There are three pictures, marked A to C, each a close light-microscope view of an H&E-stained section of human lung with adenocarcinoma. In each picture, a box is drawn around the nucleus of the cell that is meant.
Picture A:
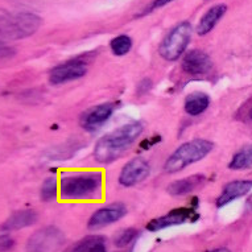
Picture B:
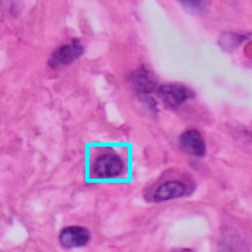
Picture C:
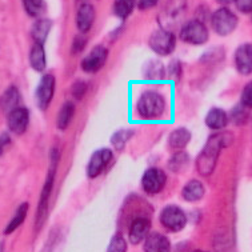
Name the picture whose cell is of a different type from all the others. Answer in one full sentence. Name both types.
All pictures except C show plasma cells; picture C shows a lymphocyte.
